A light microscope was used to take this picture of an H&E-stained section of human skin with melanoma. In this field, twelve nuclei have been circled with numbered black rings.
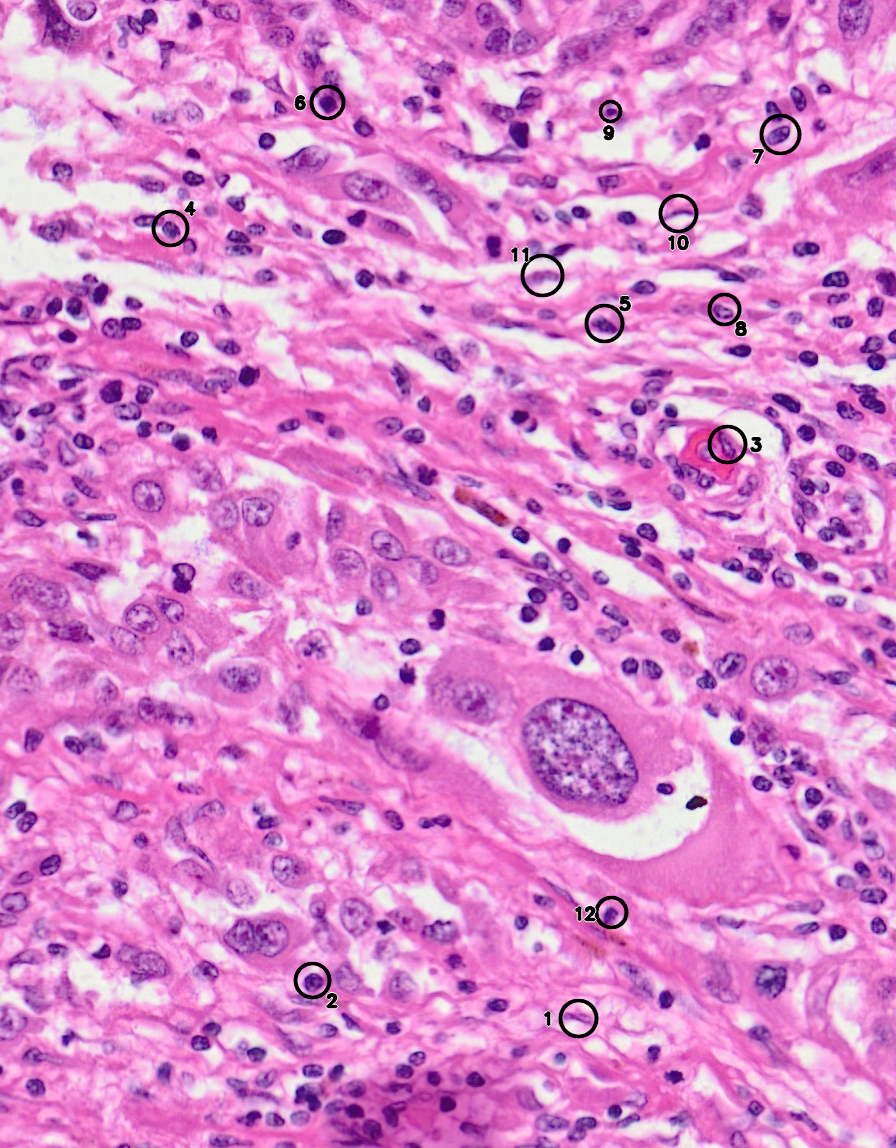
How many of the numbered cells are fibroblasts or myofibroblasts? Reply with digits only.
3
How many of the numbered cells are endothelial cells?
1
